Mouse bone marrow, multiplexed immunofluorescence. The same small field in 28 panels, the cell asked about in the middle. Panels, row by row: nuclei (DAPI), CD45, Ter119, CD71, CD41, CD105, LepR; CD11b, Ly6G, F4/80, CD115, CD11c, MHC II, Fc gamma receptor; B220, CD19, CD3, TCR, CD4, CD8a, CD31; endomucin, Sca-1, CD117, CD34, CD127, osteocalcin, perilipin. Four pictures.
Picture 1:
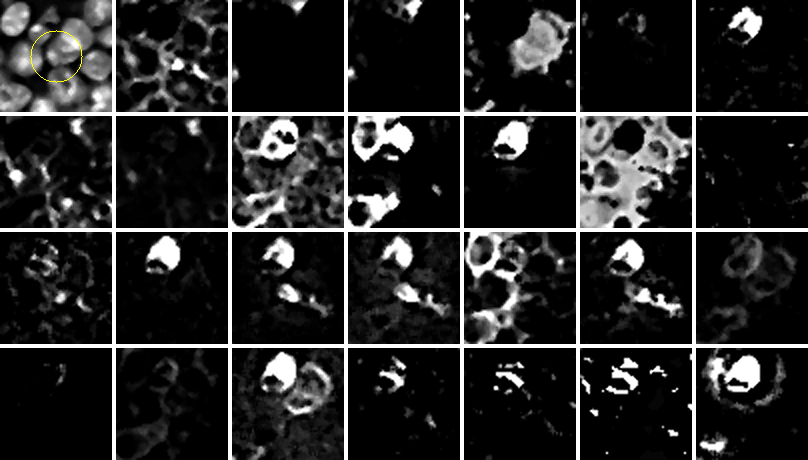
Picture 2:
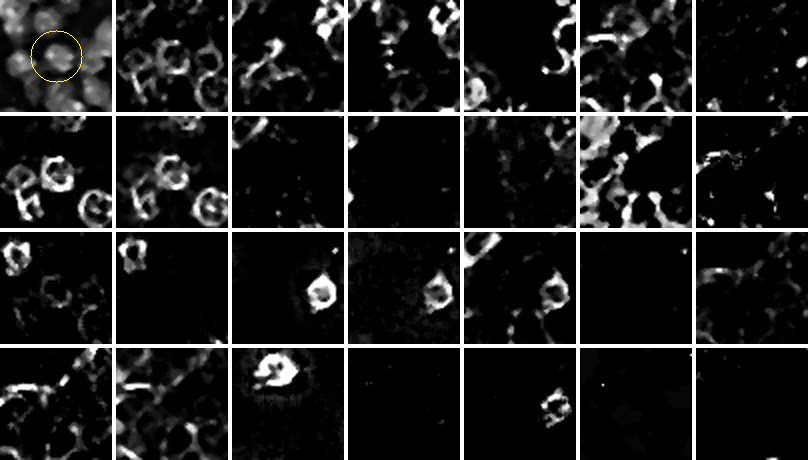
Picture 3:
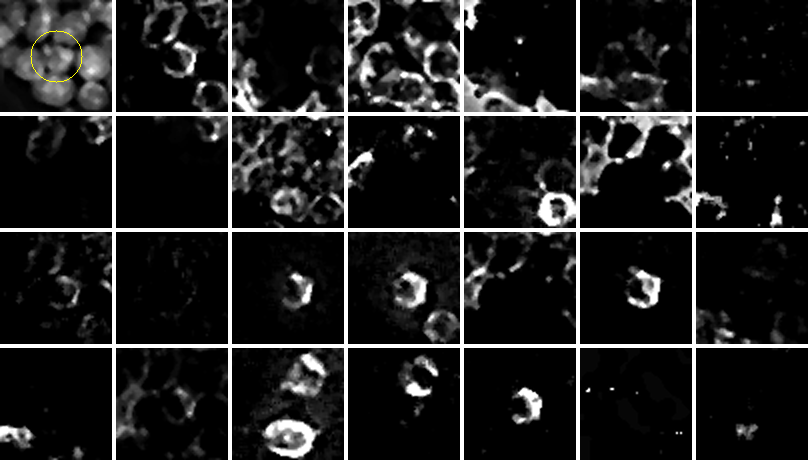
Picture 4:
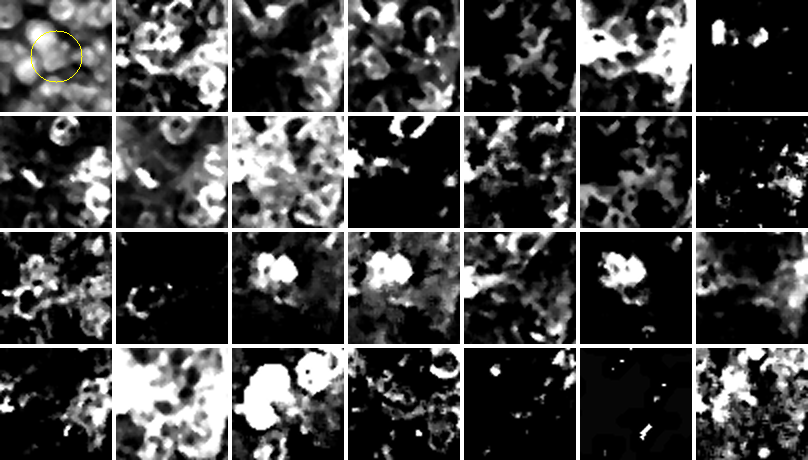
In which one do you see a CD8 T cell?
In picture 4.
